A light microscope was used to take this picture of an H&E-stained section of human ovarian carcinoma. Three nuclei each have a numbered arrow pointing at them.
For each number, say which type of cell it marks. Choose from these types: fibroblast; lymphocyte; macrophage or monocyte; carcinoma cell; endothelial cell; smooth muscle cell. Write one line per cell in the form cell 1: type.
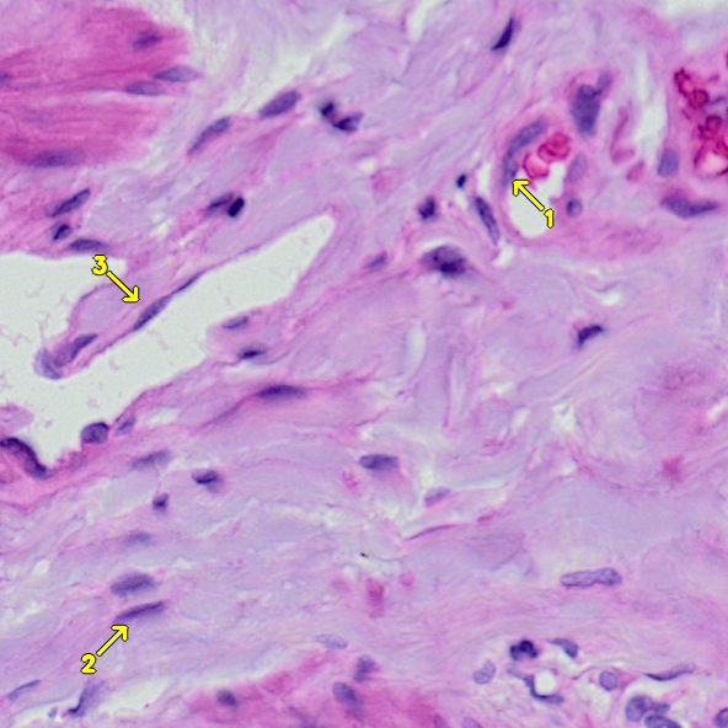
cell 1: endothelial cell
cell 2: fibroblast
cell 3: endothelial cell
